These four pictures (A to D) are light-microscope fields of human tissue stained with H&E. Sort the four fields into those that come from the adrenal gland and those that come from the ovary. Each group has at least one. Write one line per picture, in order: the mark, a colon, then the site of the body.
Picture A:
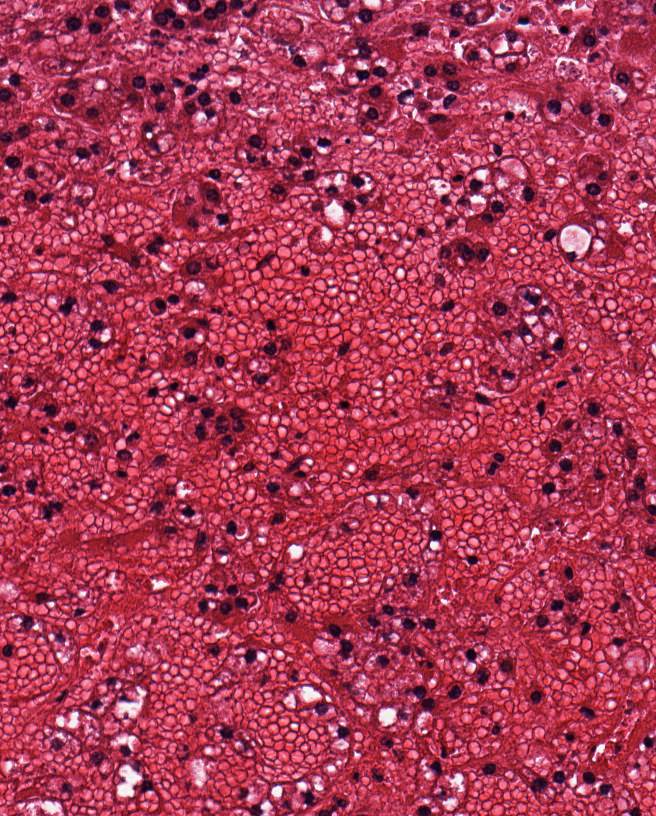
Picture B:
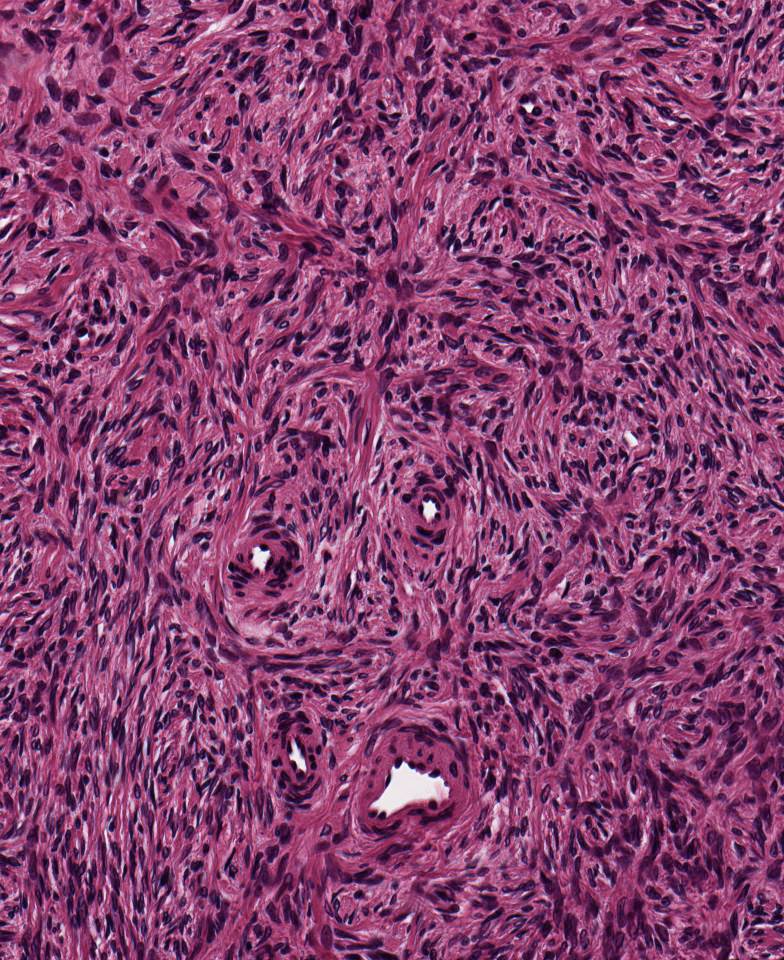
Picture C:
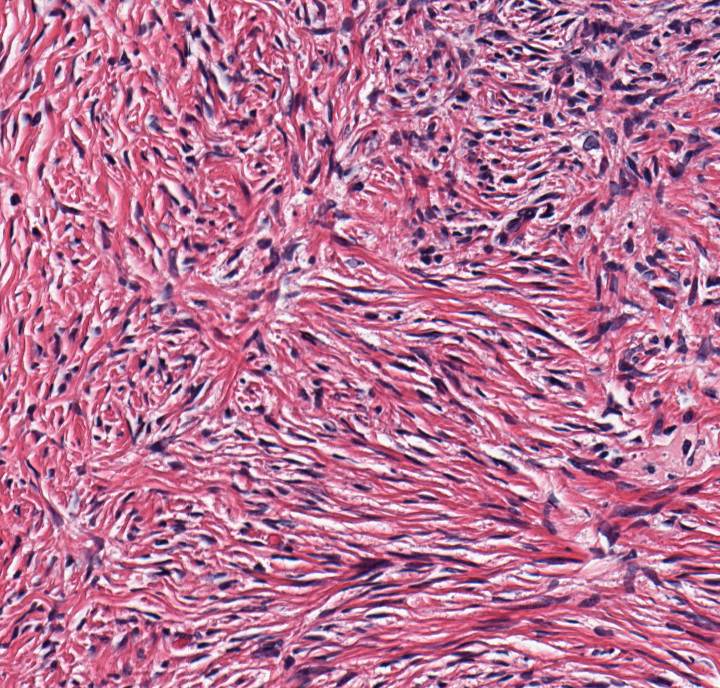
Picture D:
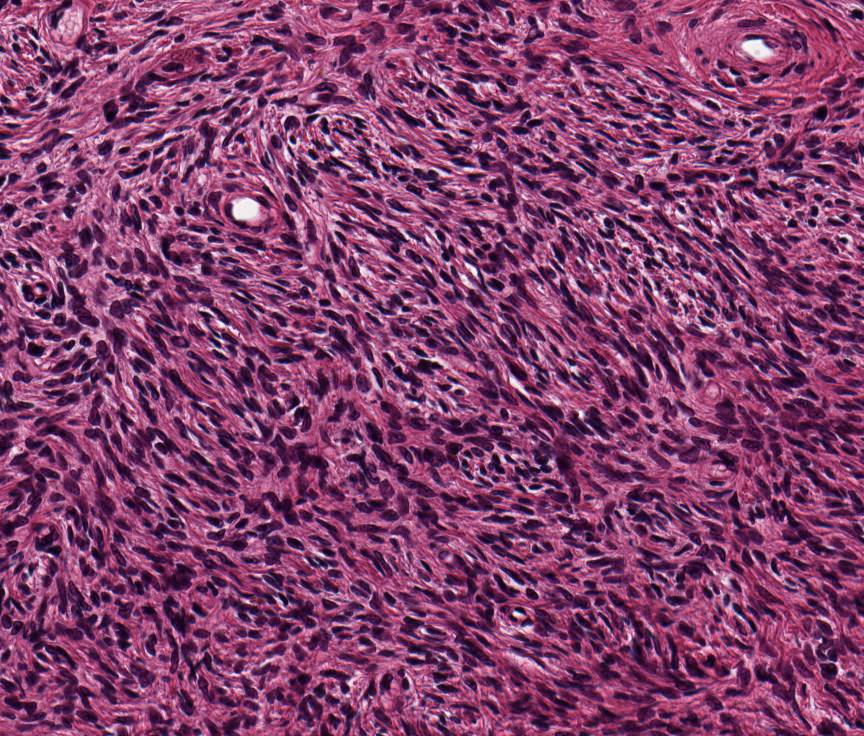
A: adrenal gland
B: ovary
C: ovary
D: ovary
